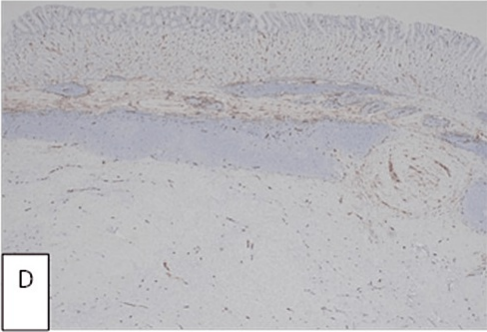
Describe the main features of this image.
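This low-power view shows the gastric wall, with the mucosa on top and a pale, finely fibrillar tumour below. The mucosa has a regular row of pits and glands and carries little brown stain. Beneath the mucosa is a loose layer with scattered brown, thread-like profiles. A band of denser blue tissue separates this layer from the tumour. Within the tumour, many thin brown lines and small dots are scattered through otherwise unstained tissue. These look like small vessels.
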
